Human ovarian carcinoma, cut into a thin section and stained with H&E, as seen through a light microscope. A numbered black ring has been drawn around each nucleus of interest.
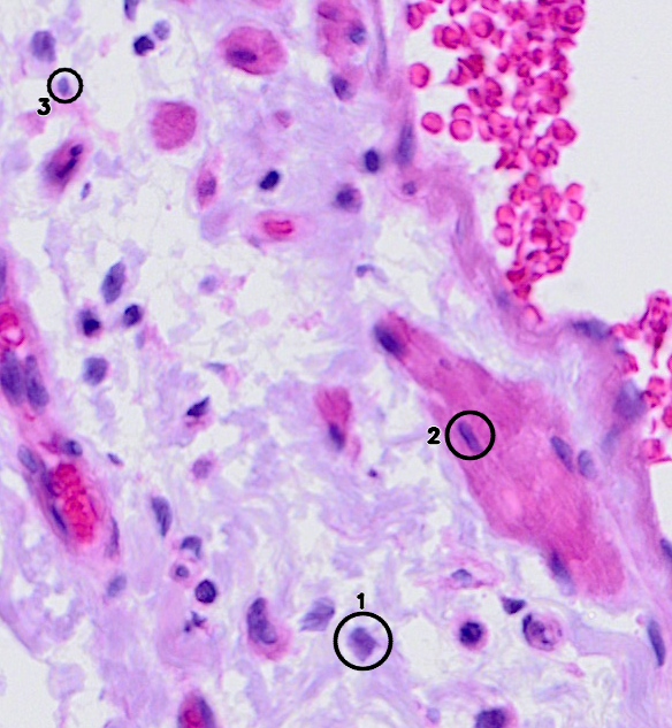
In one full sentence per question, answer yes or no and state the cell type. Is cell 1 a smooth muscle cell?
No, cell 1, which is a fibroblast, is not a smooth muscle cell.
